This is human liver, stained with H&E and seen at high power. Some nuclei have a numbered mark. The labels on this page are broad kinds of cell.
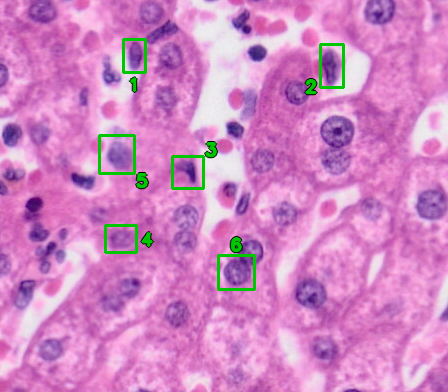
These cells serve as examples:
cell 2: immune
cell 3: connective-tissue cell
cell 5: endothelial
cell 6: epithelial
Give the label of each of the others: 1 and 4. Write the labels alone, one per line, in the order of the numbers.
immune
epithelial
